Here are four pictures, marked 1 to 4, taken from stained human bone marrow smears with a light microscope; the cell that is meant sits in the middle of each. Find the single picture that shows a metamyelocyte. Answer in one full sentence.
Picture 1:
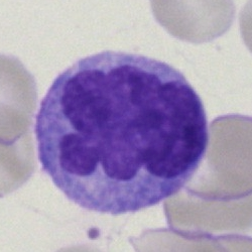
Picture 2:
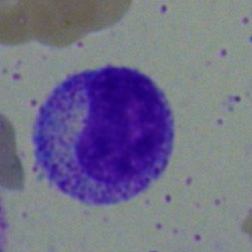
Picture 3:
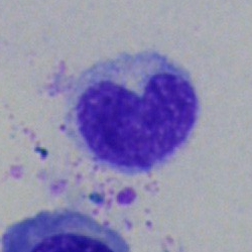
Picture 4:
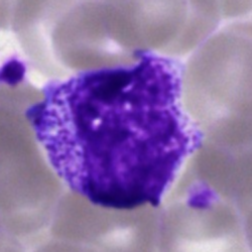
Picture 3 shows the metamyelocyte.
